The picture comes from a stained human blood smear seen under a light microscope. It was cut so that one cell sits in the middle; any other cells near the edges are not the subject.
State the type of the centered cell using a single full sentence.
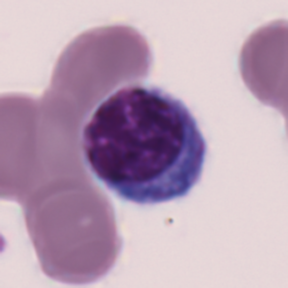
The cell at the middle of the crop is recognized as a plasma cell.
